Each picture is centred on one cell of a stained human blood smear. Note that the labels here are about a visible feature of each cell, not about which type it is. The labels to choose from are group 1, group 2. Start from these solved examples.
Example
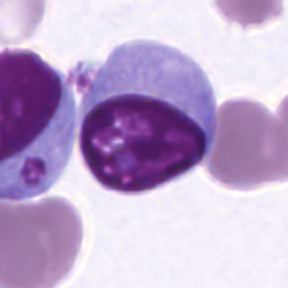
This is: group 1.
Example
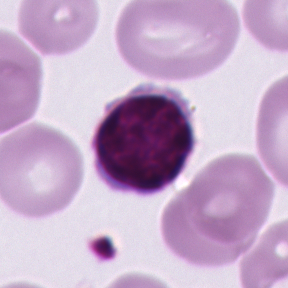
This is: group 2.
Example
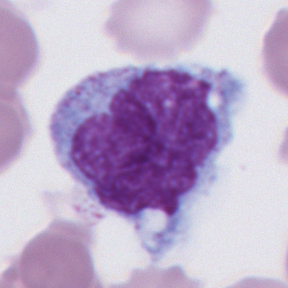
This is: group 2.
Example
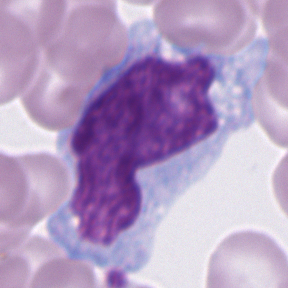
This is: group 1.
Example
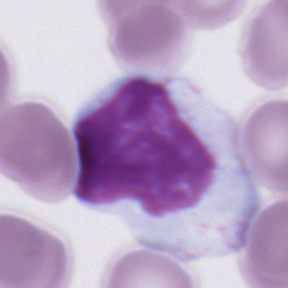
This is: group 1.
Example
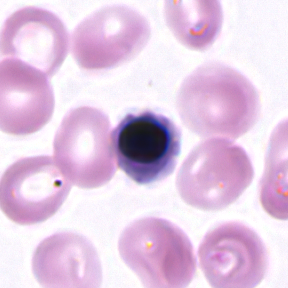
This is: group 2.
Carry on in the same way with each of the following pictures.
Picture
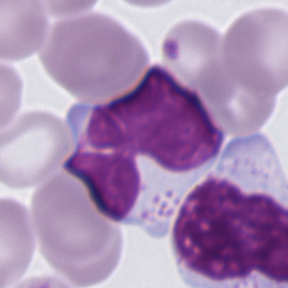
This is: group 2.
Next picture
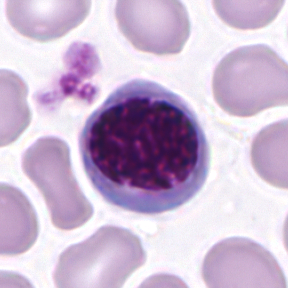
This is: group 2.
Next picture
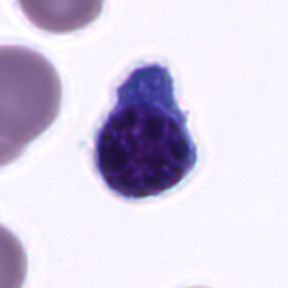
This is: group 2.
